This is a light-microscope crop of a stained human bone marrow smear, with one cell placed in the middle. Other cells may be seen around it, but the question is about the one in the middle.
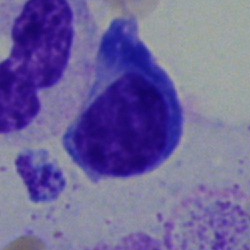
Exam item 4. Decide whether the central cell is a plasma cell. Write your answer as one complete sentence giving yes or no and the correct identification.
Yes, the middle cell of the field is a plasma cell.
